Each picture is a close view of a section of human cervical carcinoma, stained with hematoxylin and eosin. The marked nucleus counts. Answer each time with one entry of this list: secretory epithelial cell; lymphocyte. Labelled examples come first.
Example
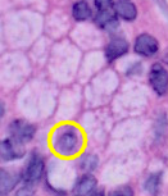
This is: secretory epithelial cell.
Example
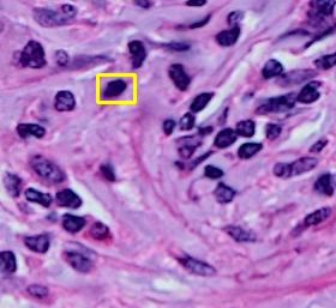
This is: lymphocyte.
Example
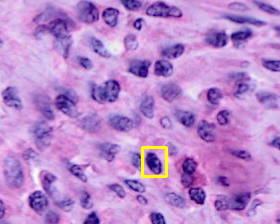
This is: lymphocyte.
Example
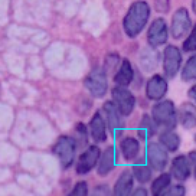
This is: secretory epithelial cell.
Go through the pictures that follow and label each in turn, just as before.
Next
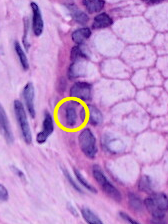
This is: secretory epithelial cell.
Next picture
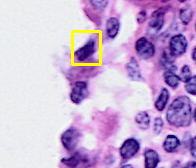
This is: lymphocyte.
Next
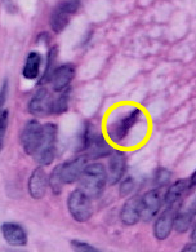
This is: secretory epithelial cell.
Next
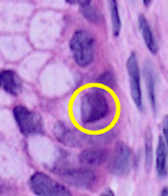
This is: secretory epithelial cell.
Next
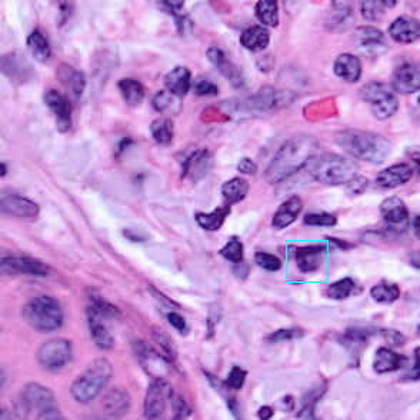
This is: lymphocyte.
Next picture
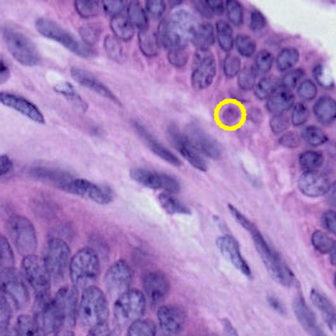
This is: secretory epithelial cell.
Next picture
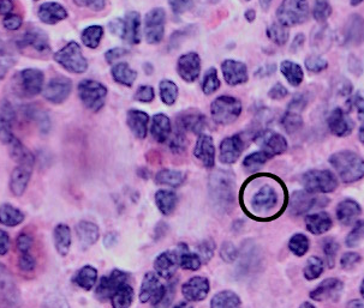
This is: lymphocyte.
